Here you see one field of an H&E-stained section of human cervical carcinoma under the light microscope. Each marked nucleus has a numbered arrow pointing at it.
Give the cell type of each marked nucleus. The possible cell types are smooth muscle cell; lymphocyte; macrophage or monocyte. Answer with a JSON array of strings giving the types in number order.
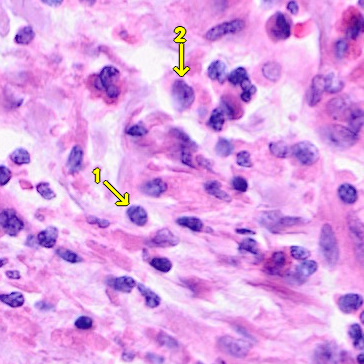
["lymphocyte", "macrophage or monocyte"]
